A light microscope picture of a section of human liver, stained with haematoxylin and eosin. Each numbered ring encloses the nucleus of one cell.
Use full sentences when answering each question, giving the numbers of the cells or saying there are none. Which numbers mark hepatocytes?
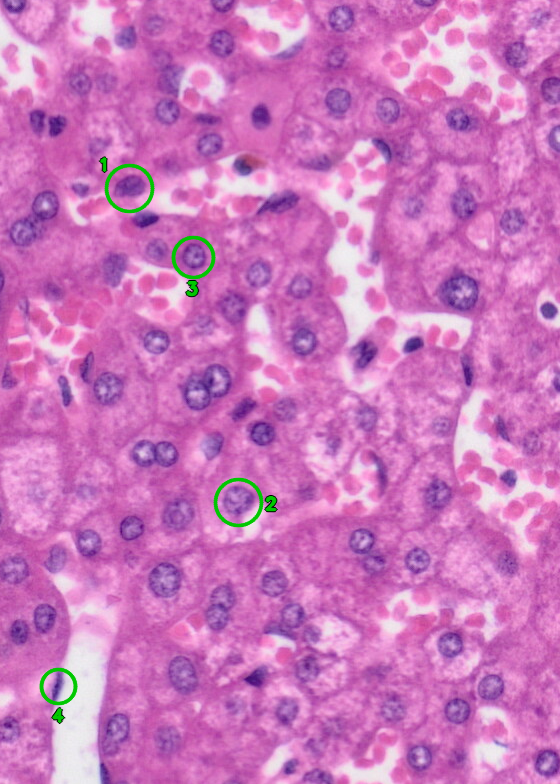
Cells 2 and 3 are classified as hepatocytes.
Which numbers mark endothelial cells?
No marked cell except number 4 is an endothelial cell.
